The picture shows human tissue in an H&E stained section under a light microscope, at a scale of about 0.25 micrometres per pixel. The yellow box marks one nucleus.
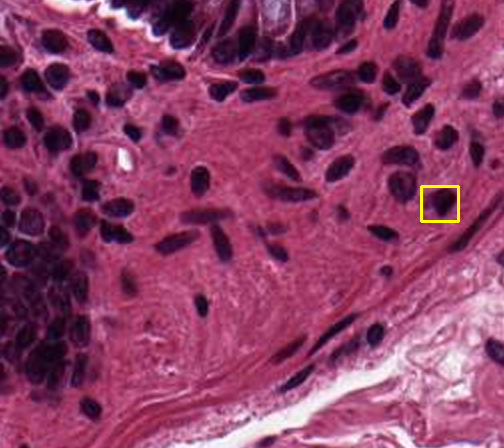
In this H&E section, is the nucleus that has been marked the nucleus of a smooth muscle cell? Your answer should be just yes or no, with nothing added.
no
